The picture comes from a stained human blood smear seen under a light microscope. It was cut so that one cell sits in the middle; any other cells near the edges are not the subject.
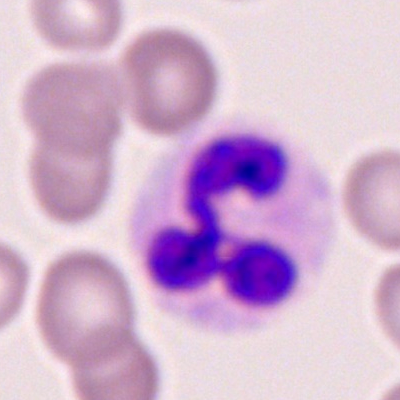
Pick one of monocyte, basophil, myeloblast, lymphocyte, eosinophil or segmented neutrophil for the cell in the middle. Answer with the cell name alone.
segmented neutrophil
